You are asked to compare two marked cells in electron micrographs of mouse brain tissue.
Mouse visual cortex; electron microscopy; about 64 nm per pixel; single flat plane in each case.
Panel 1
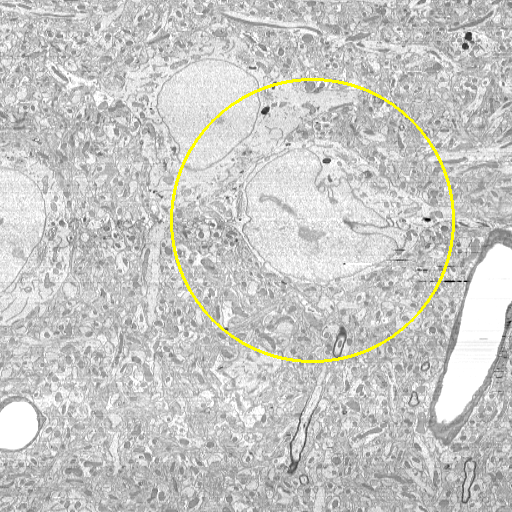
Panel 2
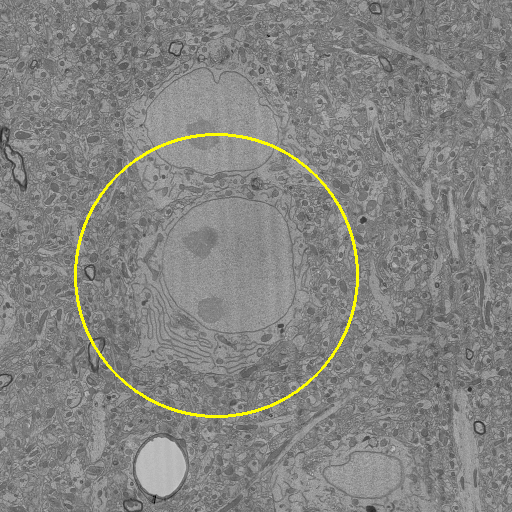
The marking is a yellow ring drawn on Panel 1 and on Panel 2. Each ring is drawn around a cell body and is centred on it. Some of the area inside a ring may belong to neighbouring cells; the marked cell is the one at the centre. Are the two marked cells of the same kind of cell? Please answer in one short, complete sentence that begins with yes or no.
No, the two marked cells are of two kinds.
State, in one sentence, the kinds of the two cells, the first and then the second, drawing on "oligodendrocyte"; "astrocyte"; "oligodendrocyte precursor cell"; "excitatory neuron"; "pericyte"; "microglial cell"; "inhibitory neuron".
The ring in the second picture is centred on an excitatory neuron, the ring in the first on an inhibitory neuron.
